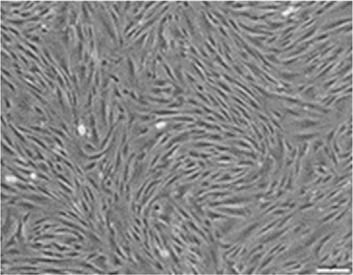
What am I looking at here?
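The cells lie side by side and line up in parallel streams that swirl into whorls across the field. Each cell is drawn out into thin tapering ends, with a slightly darker central body where the nucleus sits. Only a few small, bright, rounded bodies stand out above the layer.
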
